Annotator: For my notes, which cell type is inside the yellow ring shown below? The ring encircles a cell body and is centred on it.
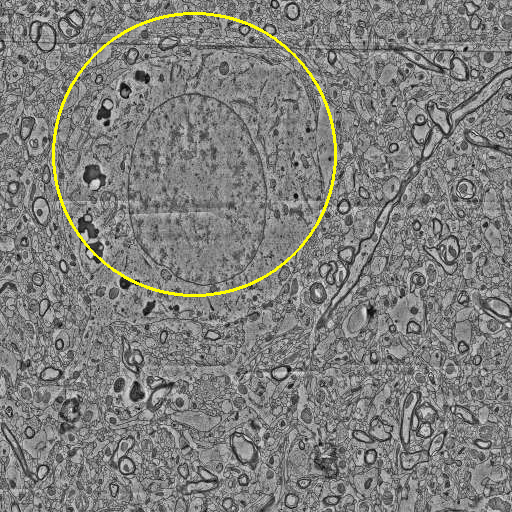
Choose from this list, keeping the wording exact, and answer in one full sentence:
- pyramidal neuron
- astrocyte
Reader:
At the centre of the yellow ring there is a pyramidal neuron, as shown in the picture.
